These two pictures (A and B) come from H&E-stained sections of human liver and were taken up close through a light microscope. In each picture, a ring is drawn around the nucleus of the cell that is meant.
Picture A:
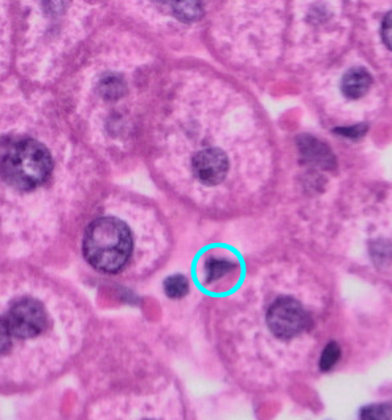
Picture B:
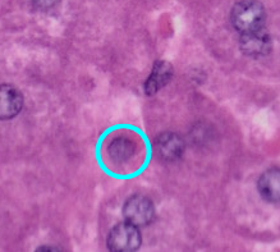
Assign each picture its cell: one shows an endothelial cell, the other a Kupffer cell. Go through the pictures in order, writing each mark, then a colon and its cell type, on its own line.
A: endothelial cell
B: Kupffer cell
